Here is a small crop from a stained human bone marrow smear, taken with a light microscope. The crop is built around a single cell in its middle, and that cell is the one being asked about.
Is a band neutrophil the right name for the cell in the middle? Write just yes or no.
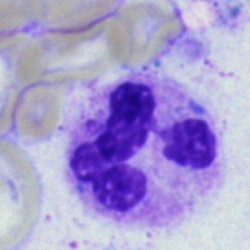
no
